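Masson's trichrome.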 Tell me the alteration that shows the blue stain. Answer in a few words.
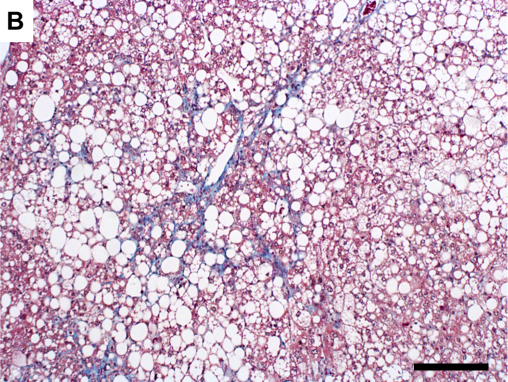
Collagen deposition in sinusoids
